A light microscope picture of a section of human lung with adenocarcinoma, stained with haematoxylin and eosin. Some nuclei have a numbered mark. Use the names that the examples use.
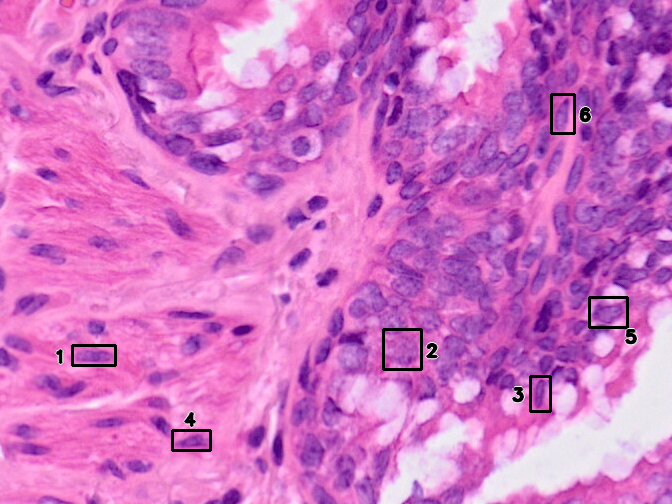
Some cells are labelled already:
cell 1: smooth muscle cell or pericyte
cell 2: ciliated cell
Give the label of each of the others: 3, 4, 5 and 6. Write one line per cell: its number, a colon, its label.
3: ciliated cell
4: smooth muscle cell or pericyte
5: ciliated cell
6: ciliated cell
